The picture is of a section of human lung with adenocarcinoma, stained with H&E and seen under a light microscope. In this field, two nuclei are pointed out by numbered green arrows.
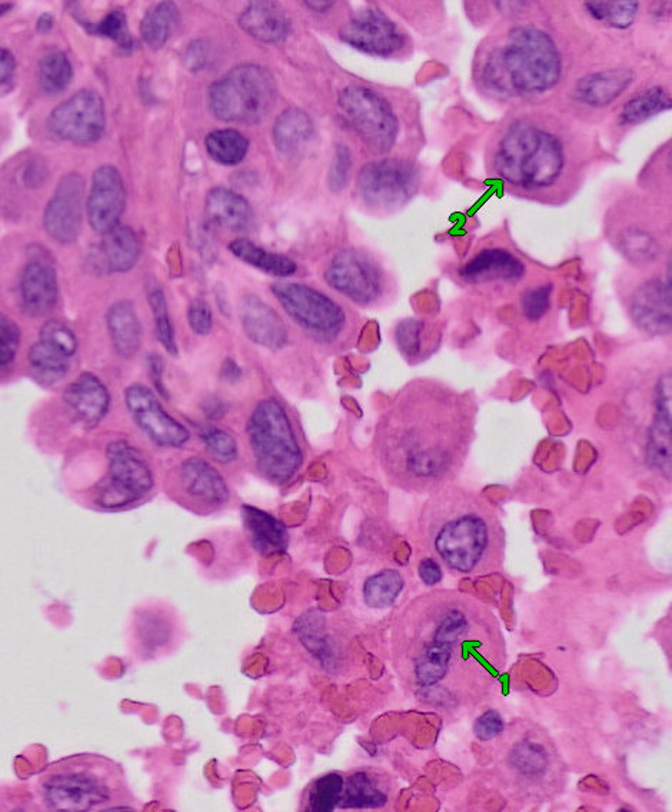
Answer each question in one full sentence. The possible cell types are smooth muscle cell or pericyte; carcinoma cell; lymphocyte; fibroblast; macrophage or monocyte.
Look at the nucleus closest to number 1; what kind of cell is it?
The cell nearest to number 1 is a macrophage or monocyte.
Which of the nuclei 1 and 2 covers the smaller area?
Number 1 is smaller, since number 2 takes up about 4 times as much area.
